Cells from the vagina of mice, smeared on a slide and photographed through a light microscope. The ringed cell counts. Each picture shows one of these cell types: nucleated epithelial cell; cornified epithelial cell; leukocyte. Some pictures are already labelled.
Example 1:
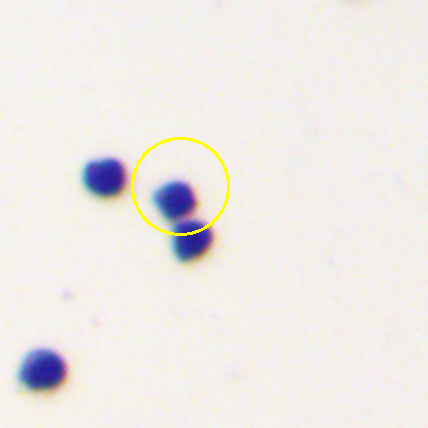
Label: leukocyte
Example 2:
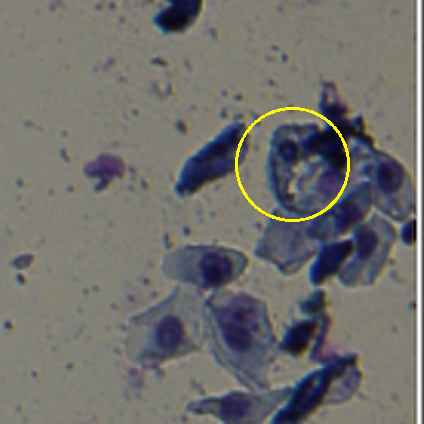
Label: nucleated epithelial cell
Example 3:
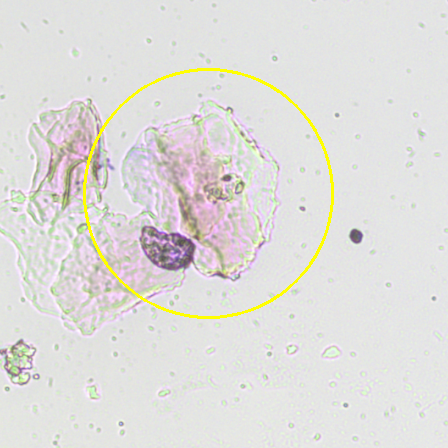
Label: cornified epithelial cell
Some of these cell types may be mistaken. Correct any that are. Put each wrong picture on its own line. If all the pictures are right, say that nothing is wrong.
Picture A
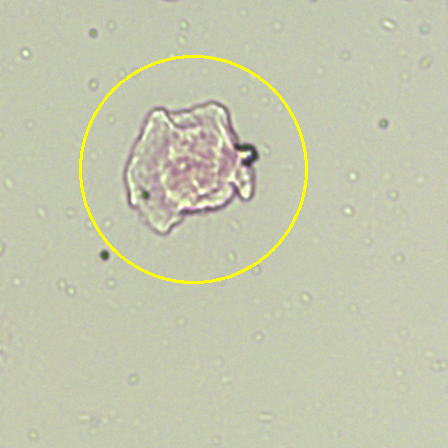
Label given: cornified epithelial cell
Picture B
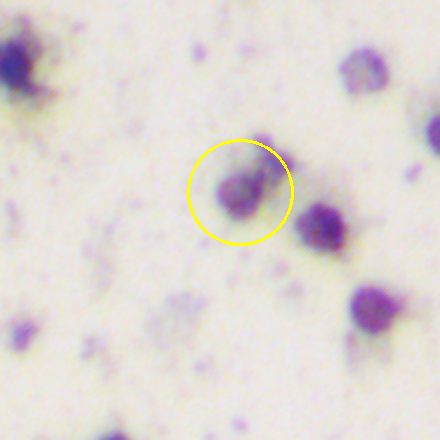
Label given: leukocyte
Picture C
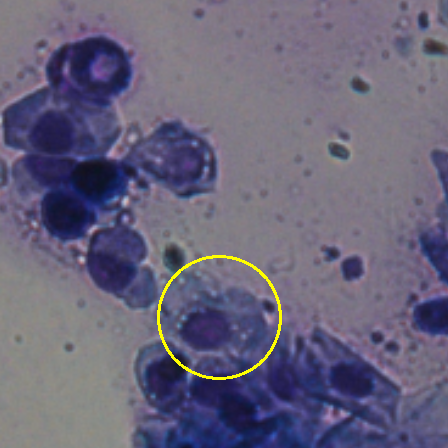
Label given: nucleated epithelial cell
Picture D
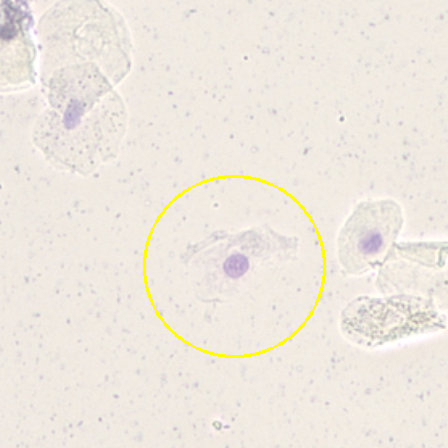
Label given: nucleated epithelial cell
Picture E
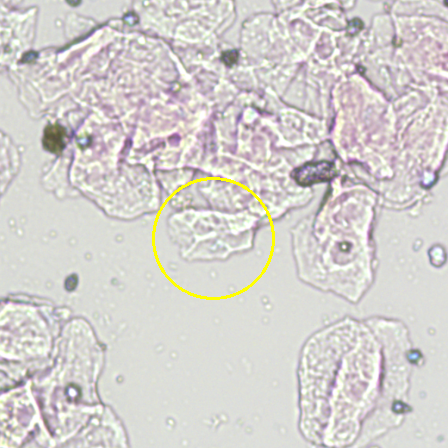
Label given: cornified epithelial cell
All labels are correct.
